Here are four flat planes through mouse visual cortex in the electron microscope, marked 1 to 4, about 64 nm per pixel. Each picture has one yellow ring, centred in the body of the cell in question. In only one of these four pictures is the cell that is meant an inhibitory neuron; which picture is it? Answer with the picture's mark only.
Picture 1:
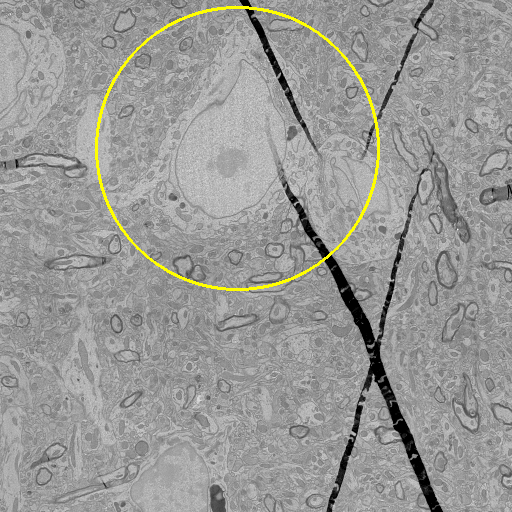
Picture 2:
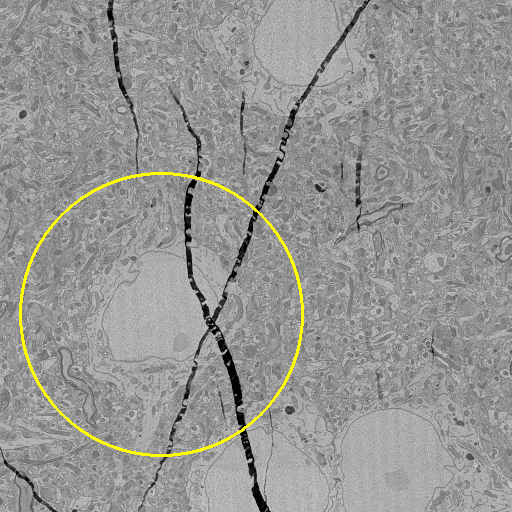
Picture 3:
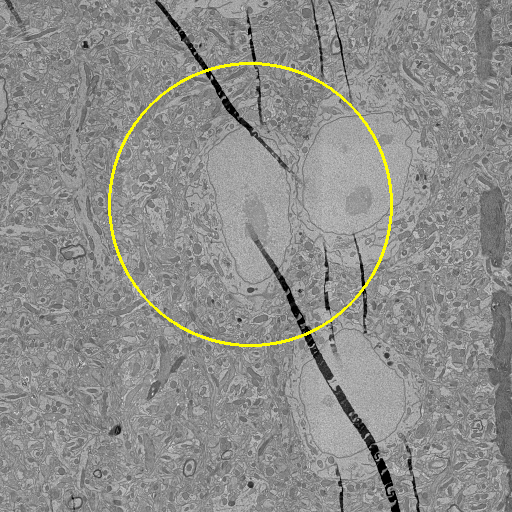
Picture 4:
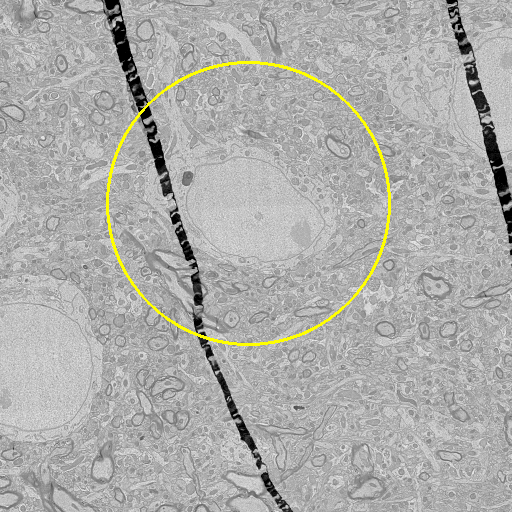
3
